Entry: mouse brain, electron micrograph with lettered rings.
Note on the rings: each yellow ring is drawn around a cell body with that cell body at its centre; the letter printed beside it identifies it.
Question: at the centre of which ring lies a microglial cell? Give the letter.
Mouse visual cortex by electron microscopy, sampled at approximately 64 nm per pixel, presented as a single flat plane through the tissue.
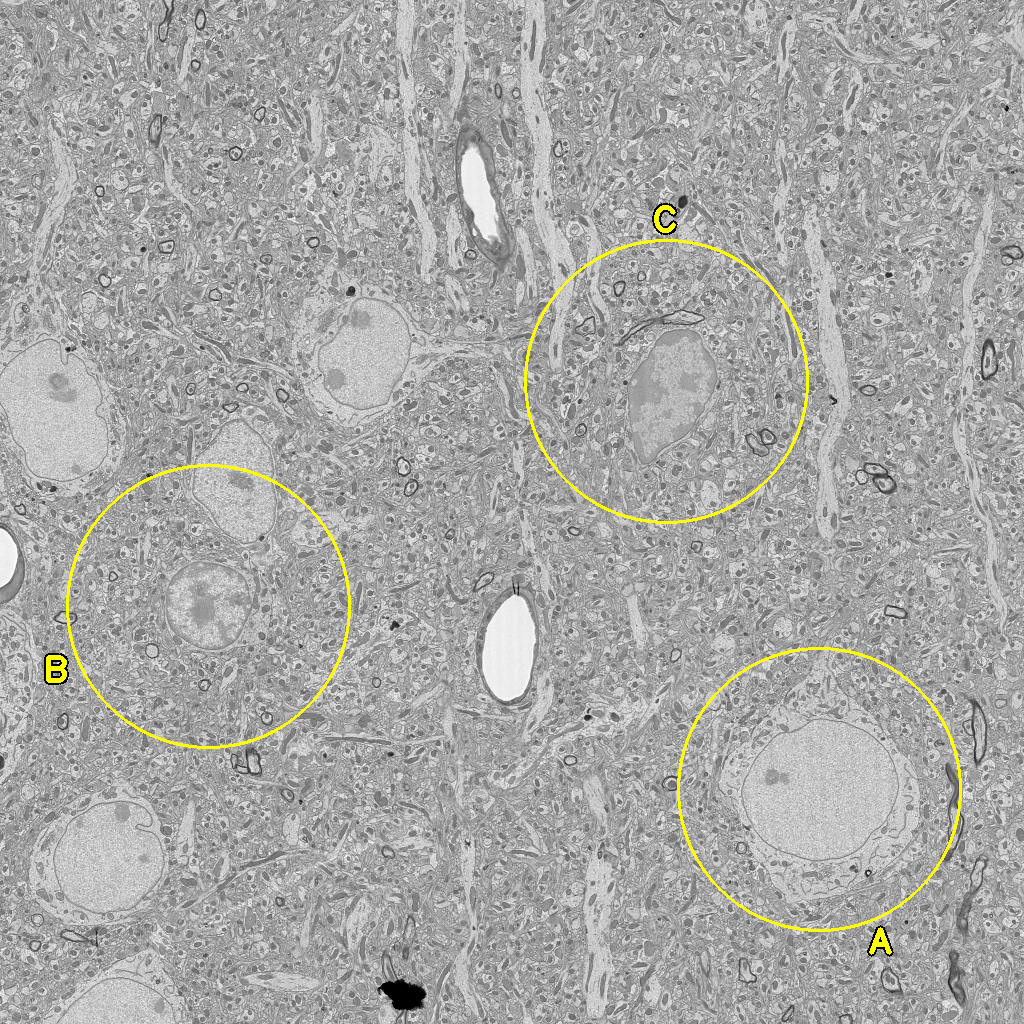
C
